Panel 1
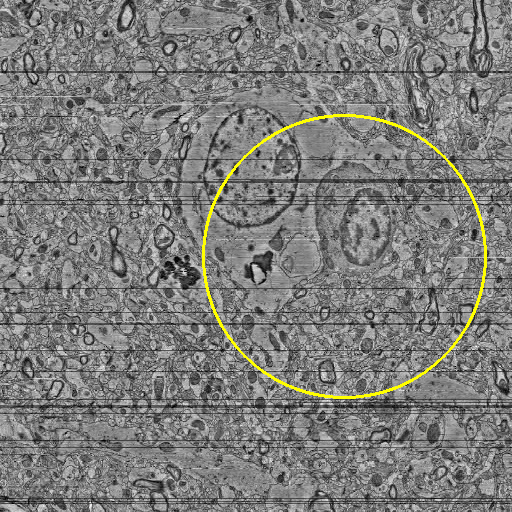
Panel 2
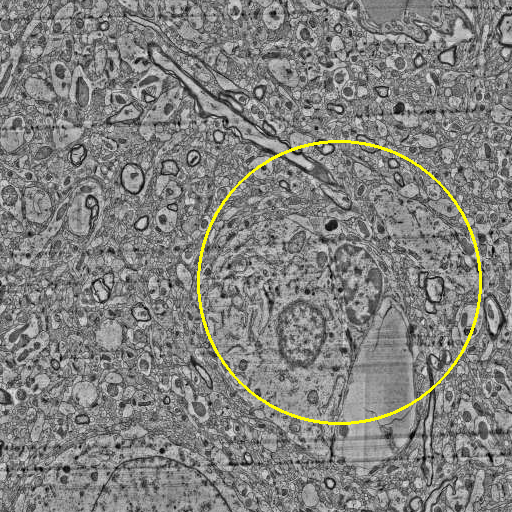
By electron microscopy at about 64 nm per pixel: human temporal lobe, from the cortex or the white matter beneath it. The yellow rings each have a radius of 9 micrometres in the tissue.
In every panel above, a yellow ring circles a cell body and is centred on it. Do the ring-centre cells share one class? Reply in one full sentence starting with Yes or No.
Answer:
No, the two cells at the ring centres in the panels belong to two classes.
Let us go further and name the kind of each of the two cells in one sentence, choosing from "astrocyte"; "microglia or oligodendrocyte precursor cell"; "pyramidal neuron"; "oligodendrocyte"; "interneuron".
The ring of the first picture is on an oligodendrocyte, the ring of the second on a microglial cell or oligodendrocyte precursor cell.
